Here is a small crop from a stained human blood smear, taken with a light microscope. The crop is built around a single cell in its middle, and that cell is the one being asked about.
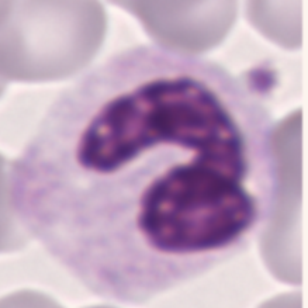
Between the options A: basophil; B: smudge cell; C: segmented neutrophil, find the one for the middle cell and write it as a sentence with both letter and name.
Option C is accurate; the centrally placed cell is a segmented neutrophil.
